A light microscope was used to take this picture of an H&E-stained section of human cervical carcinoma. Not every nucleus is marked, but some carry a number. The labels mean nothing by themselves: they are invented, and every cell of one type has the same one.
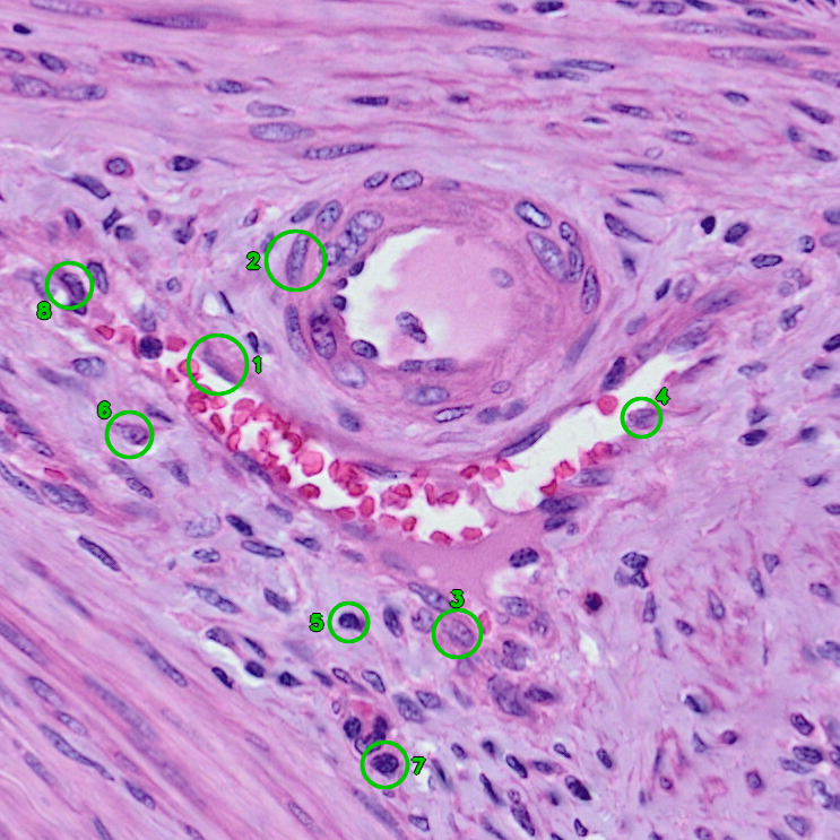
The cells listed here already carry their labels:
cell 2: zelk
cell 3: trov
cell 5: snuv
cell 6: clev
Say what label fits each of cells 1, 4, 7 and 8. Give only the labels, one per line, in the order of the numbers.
trov
trov
snuv
trov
